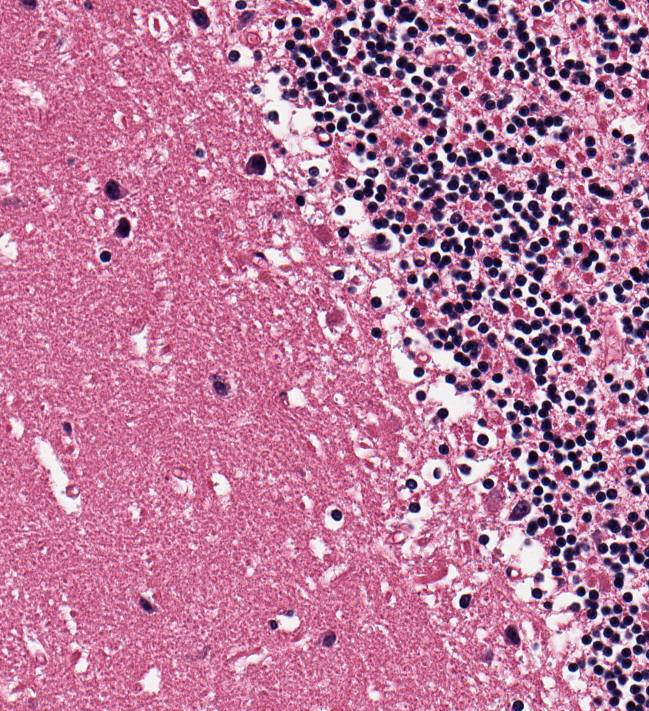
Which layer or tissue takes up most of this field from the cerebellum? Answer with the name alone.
molecular layer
